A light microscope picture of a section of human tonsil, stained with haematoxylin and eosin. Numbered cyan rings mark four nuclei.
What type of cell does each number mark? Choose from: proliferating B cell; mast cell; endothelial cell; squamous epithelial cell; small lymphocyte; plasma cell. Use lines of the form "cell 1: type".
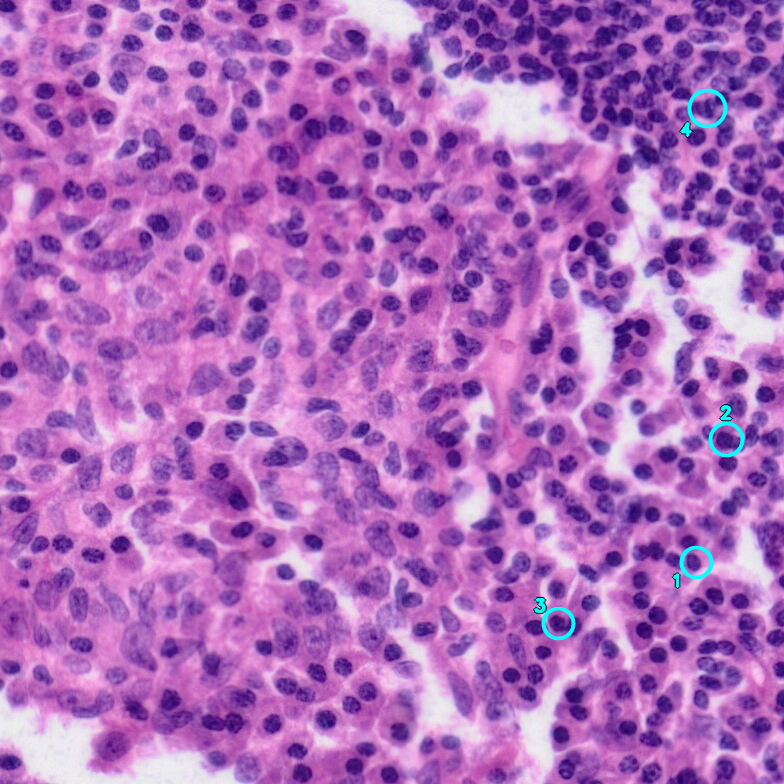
cell 1: plasma cell
cell 2: plasma cell
cell 3: plasma cell
cell 4: small lymphocyte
